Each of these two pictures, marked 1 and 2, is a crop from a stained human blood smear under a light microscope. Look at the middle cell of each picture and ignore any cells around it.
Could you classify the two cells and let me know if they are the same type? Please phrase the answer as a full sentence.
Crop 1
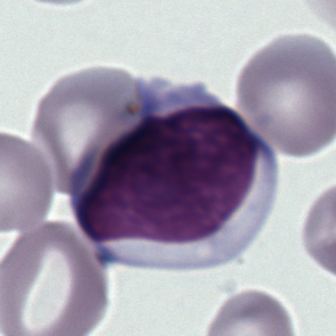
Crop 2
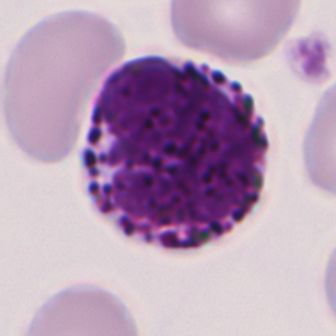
No, a basophil is in crop 2, and a typical lymphocyte is in crop 1.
